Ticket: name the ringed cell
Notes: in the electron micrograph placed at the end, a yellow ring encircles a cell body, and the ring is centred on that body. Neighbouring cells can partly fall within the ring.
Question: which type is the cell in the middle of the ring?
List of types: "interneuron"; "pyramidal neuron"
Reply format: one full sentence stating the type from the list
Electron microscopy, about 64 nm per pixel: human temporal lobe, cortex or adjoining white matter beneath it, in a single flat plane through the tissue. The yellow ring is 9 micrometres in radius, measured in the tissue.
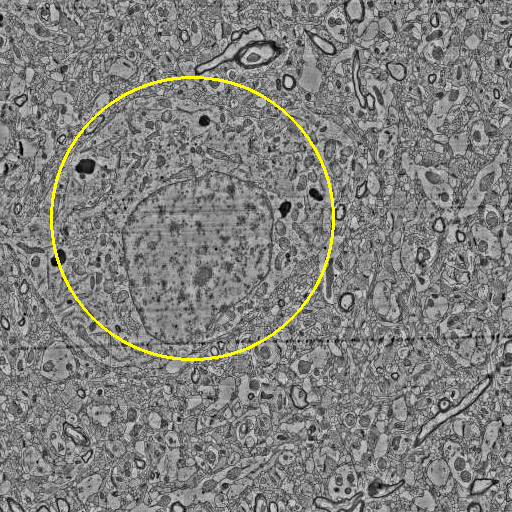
The cell sitting at the centre of the yellow ring is an interneuron.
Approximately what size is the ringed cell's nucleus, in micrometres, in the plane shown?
In this plane, the nucleus of the cell at the centre of the ring measures about 12 by 9 micrometres.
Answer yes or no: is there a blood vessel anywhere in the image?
No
